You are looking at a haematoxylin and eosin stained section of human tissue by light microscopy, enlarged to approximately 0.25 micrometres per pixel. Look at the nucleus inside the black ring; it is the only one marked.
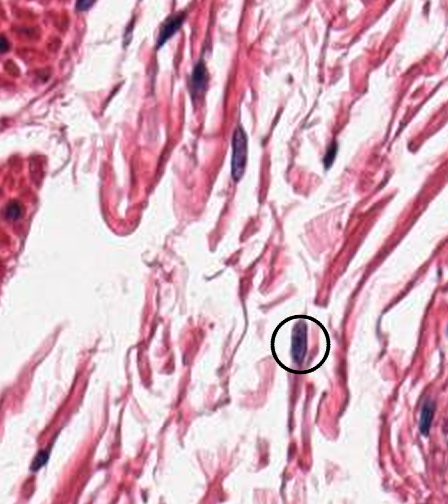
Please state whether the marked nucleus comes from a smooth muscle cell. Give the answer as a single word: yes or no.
no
